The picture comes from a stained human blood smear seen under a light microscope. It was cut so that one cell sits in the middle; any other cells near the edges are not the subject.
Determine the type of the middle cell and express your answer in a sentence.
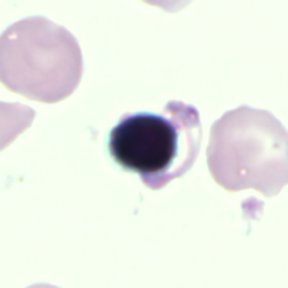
The cell at the heart of this crop is a normoblast.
